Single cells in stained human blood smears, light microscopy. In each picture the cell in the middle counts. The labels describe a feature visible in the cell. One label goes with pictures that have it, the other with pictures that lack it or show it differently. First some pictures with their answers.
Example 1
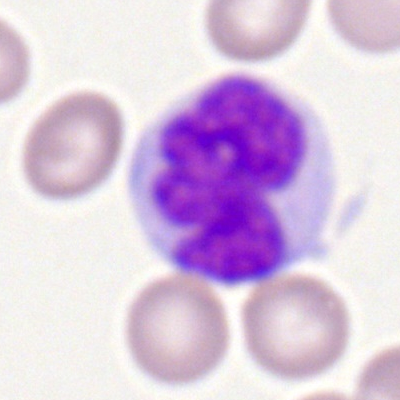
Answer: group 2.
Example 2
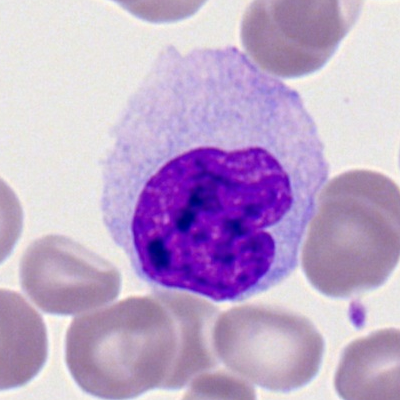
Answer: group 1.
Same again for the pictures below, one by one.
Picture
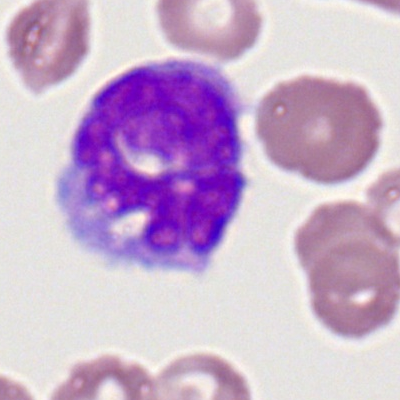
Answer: group 2.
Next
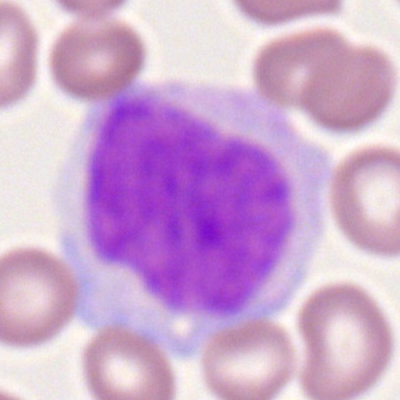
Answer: group 2.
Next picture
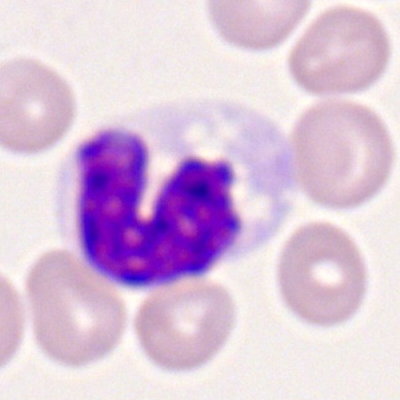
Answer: group 1.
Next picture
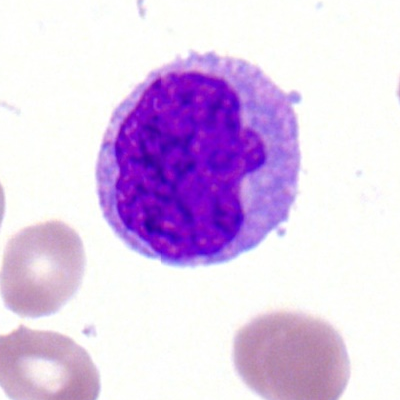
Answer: group 2.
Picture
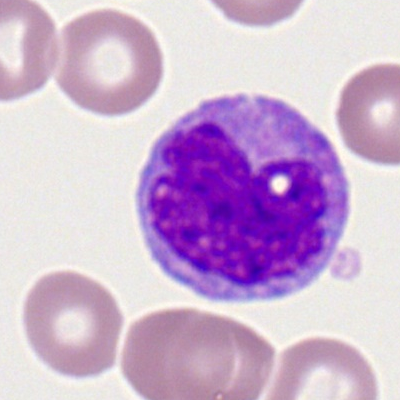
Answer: group 2.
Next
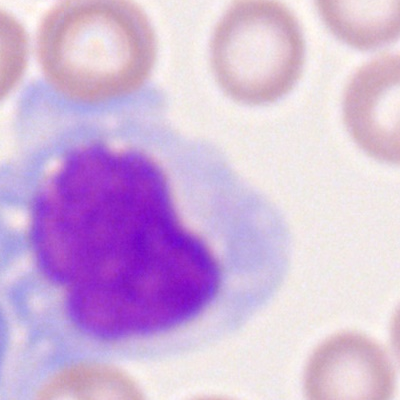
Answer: group 1.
